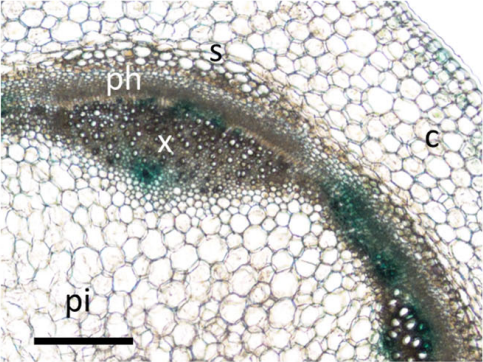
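A sector of a stem cross-section showing concentric tissues from the surface inwards. Outermost is a cortex of thin-walled, rounded to polygonal parenchyma cells. Inside it runs a narrow band of small, thick-walled sclerenchyma cells, followed by a darker band of phloem of small crowded cells. The xylem beneath contains scattered wide, round vessels among smaller cells, some in radial files. The centre is filled by pith of large, thin-walled, rounded parenchyma cells, larger than those of the cortex. Blue-green staining lies in patches within the vascular ring, strongest near the xylem, and faintly in the outer cortex.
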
